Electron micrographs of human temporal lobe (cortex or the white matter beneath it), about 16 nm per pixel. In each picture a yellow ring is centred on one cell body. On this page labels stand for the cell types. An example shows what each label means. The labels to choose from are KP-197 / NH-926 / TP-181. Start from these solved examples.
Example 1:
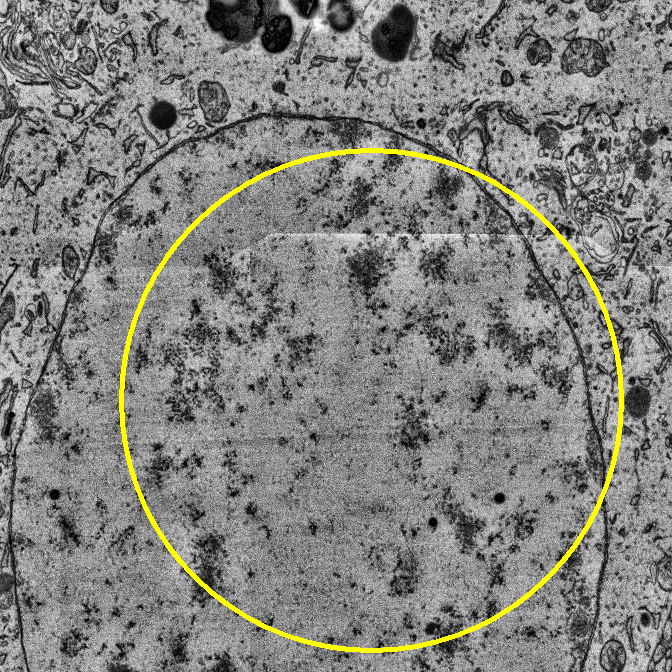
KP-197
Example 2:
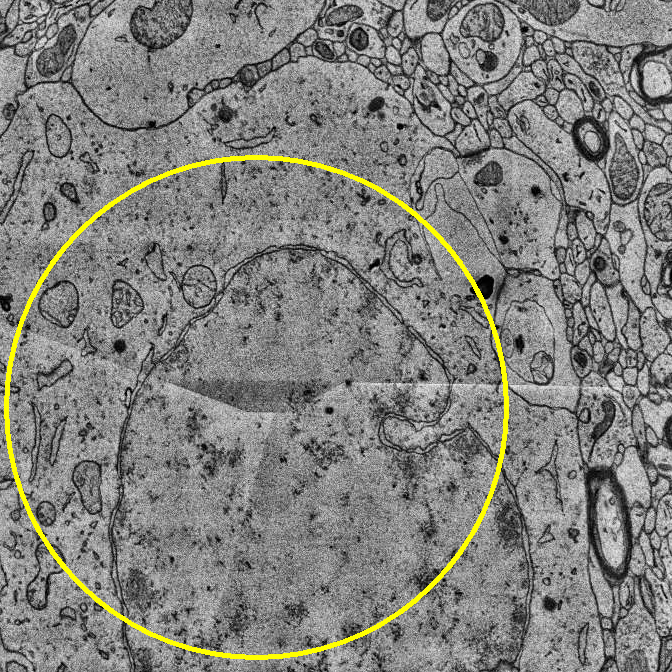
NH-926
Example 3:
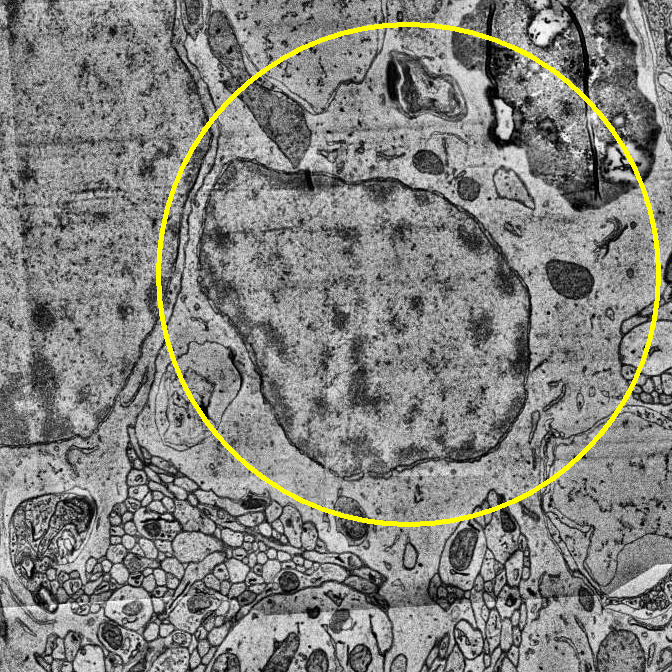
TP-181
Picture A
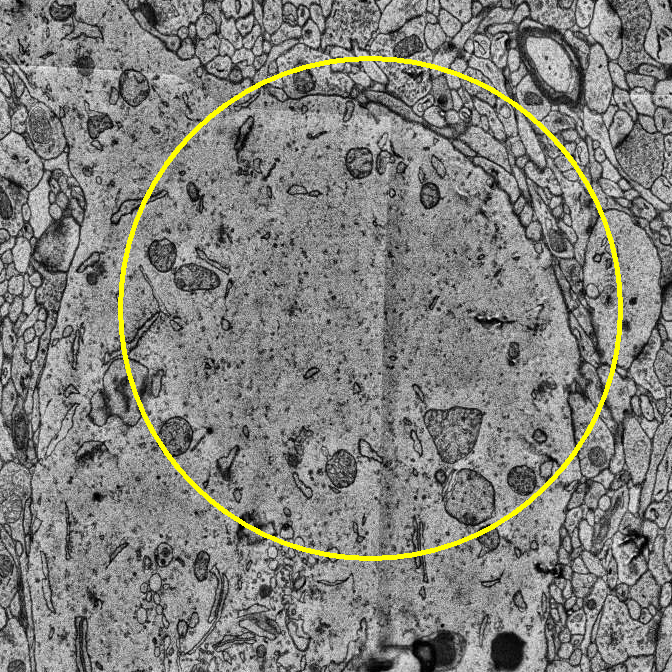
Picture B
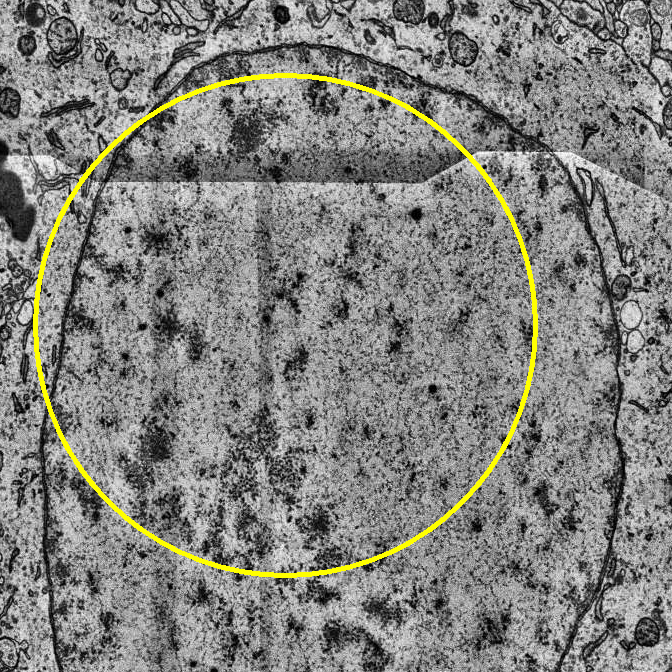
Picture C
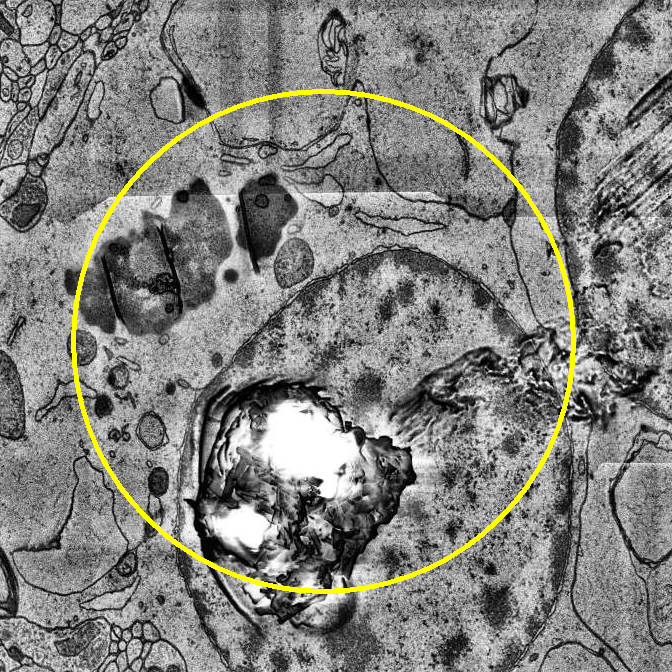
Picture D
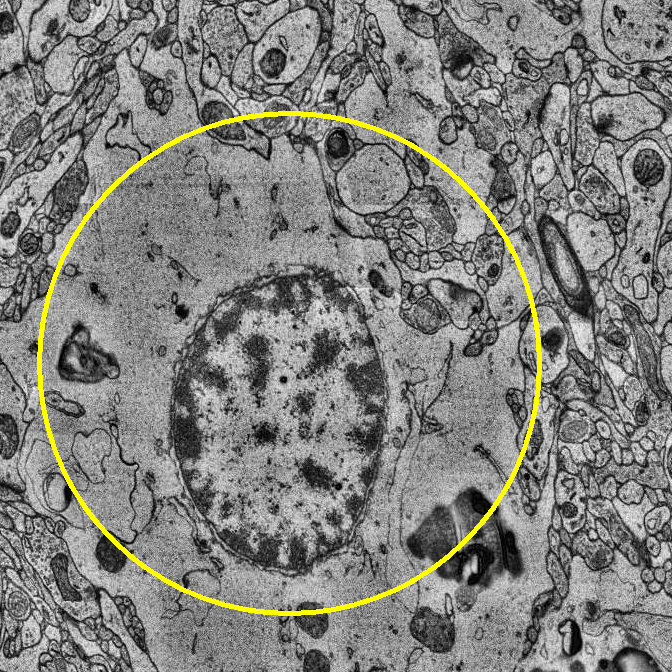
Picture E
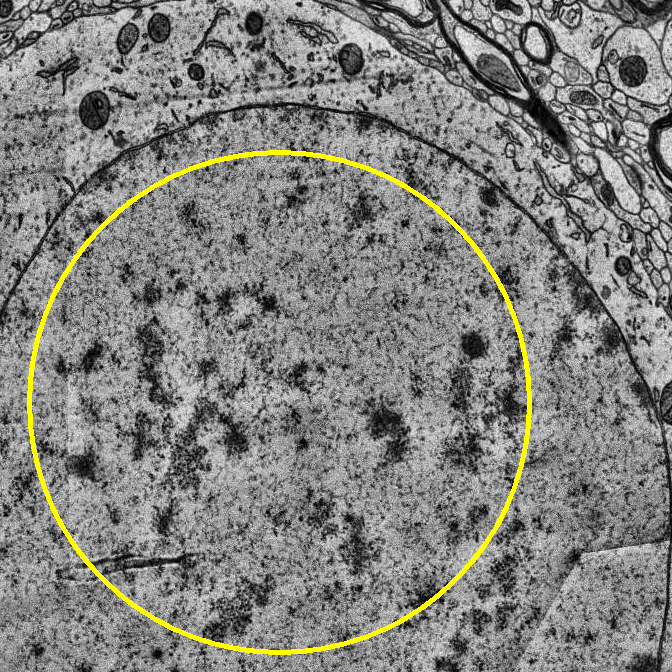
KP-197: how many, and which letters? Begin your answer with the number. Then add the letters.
3: A, B, E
